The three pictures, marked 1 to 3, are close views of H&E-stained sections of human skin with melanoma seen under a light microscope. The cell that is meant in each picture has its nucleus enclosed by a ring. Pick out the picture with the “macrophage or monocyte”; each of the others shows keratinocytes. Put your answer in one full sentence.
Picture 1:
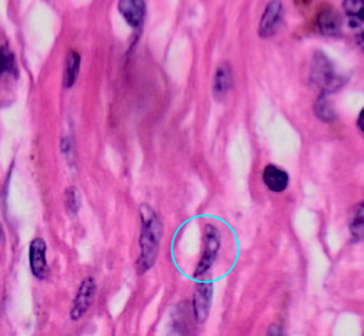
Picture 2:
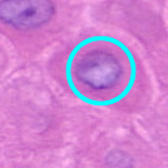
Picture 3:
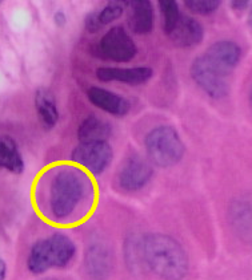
Picture 1 is the one that shows the “macrophage or monocyte”.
